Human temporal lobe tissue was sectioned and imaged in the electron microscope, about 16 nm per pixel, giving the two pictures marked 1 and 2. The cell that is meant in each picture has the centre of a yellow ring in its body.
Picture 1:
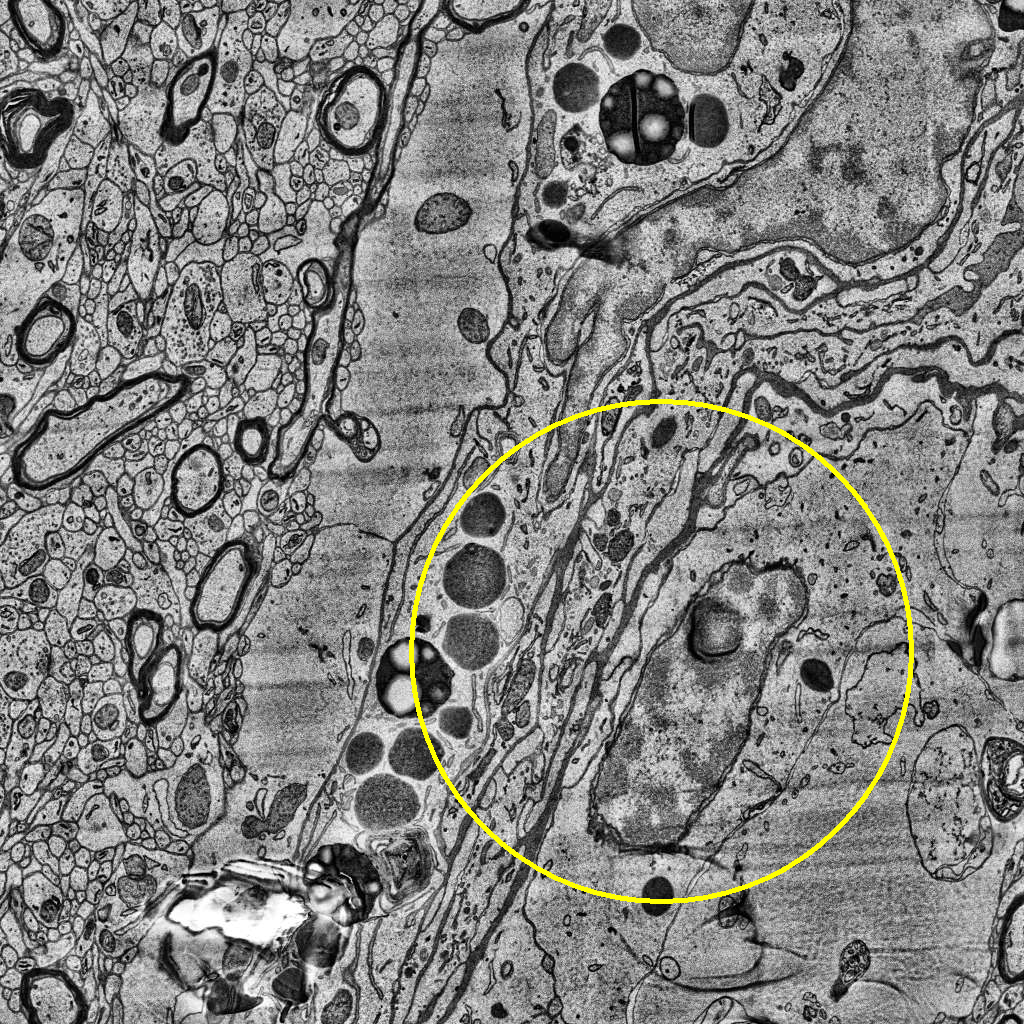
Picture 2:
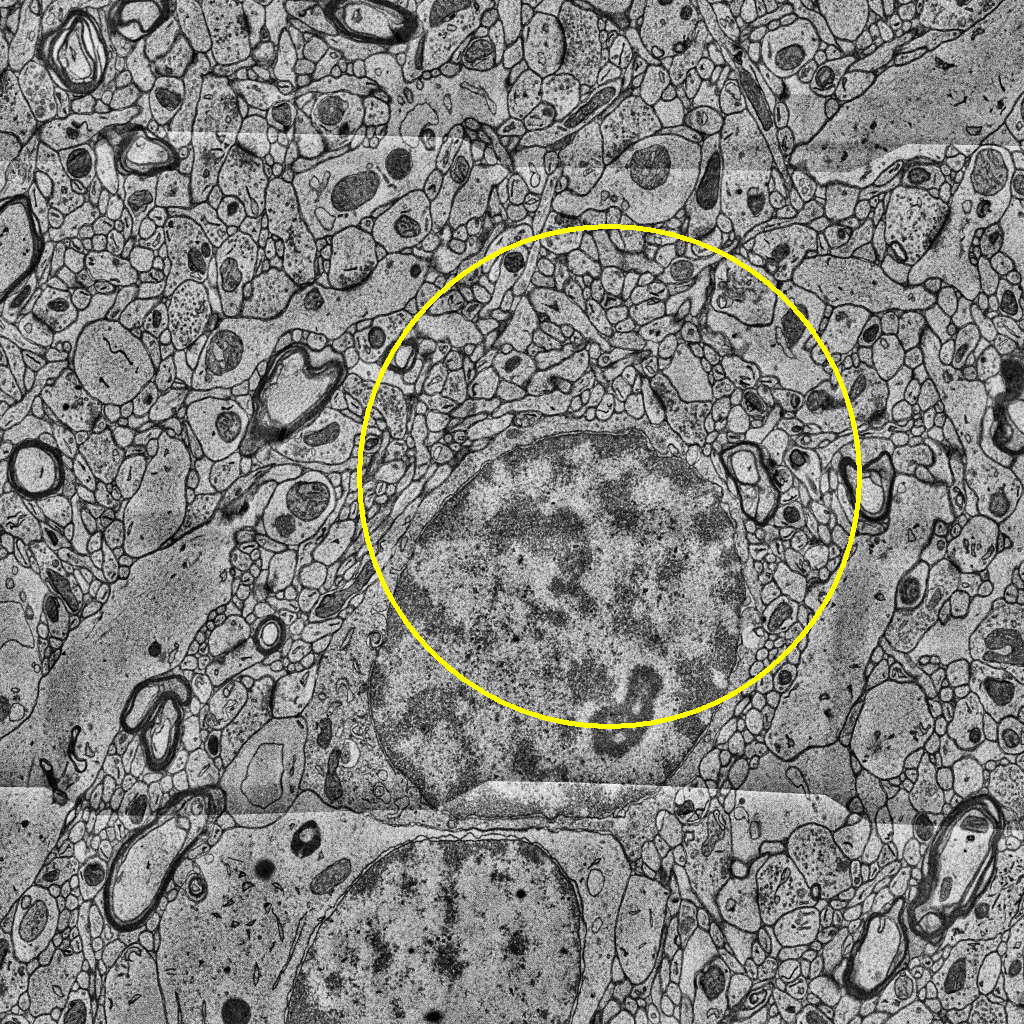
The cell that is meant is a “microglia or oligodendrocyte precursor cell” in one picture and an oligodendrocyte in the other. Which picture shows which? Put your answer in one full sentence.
Picture 2 shows an oligodendrocyte, while picture 1 shows a “microglia or oligodendrocyte precursor cell”.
